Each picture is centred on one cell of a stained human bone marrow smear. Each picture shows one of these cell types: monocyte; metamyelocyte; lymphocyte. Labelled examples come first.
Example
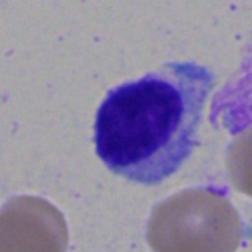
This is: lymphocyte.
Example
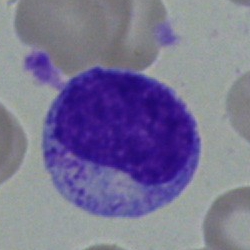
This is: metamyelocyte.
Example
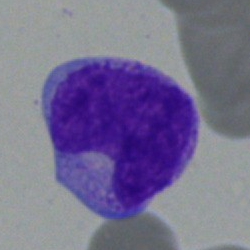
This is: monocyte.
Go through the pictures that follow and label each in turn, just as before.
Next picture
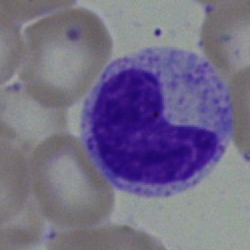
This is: metamyelocyte.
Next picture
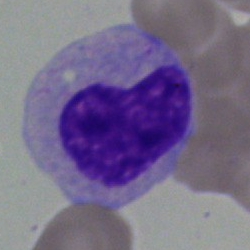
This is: metamyelocyte.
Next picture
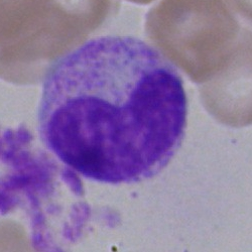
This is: metamyelocyte.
